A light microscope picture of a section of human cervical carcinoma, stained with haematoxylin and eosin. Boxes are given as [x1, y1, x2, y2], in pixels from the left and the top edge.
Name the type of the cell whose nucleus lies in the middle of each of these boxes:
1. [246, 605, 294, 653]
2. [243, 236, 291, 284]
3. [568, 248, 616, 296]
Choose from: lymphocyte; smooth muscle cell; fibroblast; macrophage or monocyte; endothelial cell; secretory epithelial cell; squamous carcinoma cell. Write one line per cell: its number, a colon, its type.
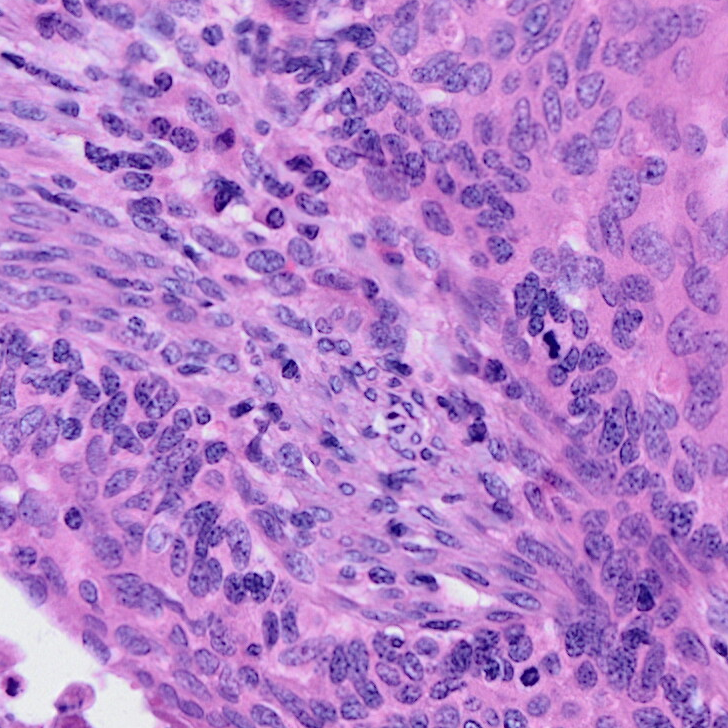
1: squamous carcinoma cell
2: endothelial cell
3: squamous carcinoma cell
